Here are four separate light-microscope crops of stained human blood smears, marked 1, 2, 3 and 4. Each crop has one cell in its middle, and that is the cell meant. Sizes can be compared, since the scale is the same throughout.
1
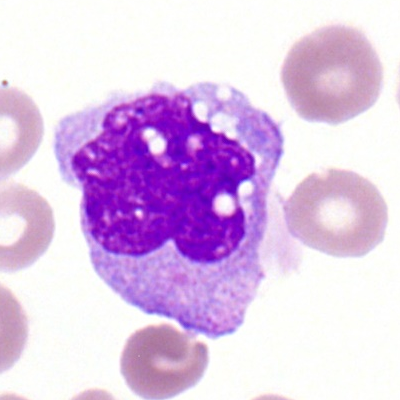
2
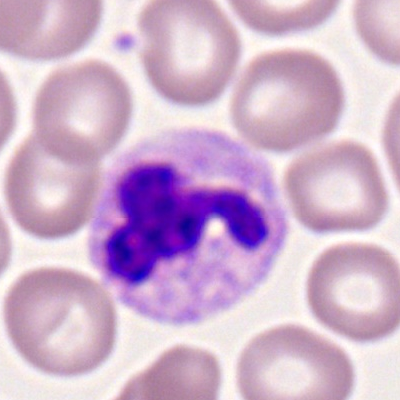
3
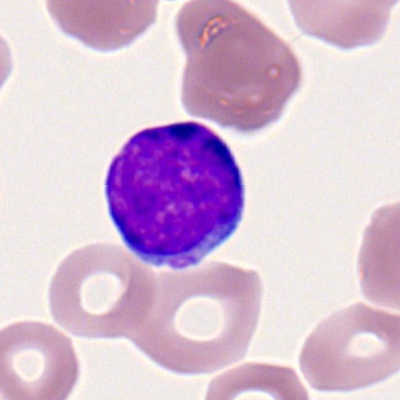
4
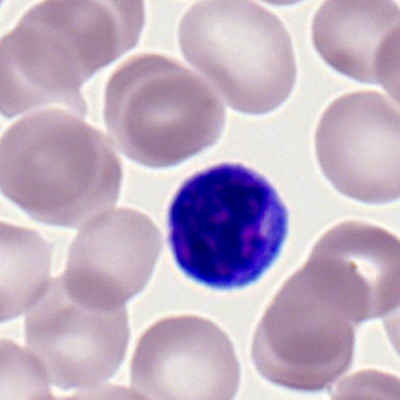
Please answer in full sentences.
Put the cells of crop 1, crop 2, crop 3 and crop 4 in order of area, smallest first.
From the smallest up, the order is 4, 3, 2, 1.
